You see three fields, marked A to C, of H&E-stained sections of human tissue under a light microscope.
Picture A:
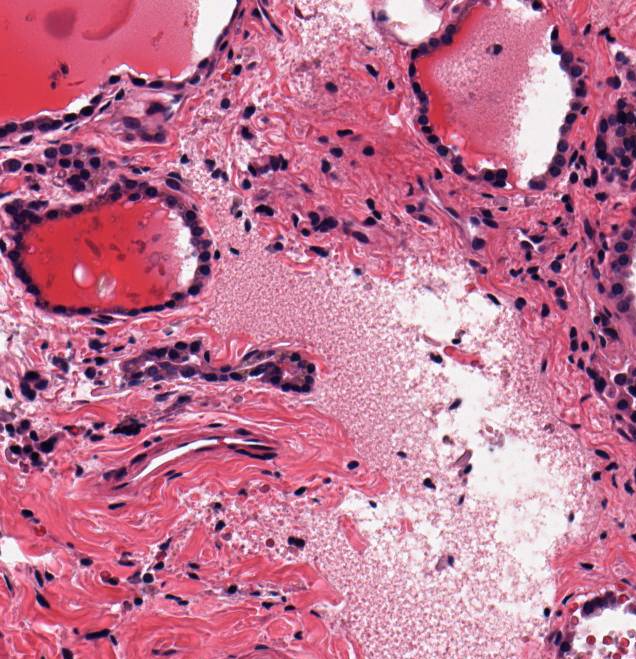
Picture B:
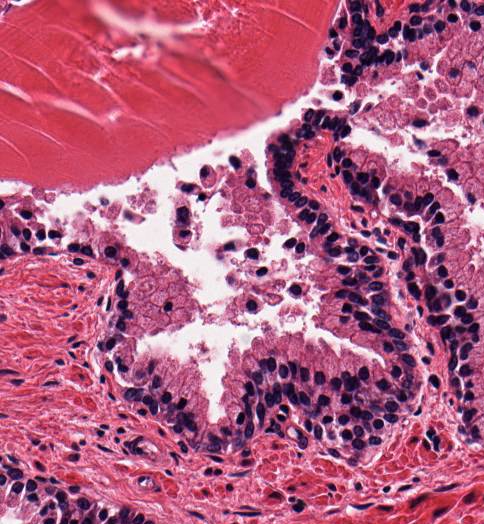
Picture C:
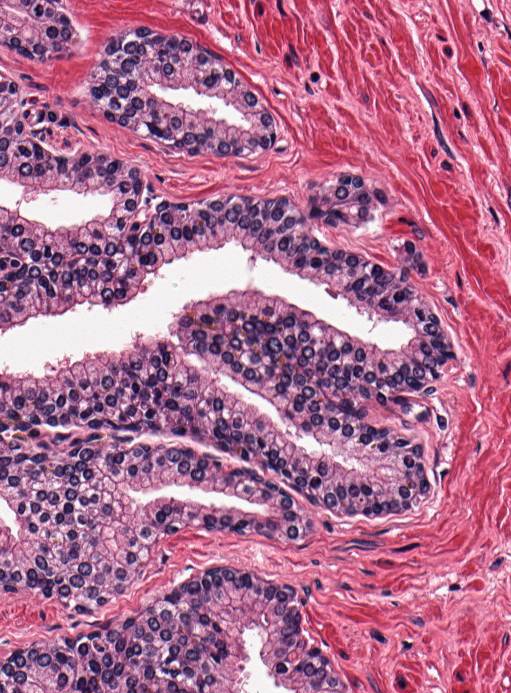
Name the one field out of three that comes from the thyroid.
A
